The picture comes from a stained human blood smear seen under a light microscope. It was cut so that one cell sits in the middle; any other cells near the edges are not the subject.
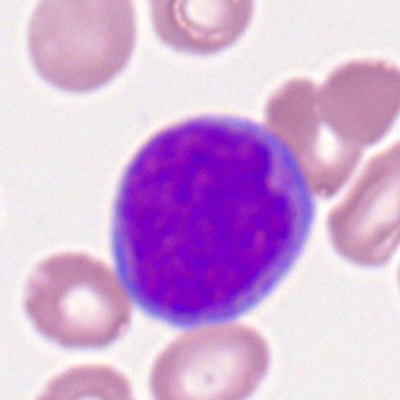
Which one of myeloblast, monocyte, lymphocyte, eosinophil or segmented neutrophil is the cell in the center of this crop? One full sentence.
The cell at the middle of the frame should be recorded as a myeloblast.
